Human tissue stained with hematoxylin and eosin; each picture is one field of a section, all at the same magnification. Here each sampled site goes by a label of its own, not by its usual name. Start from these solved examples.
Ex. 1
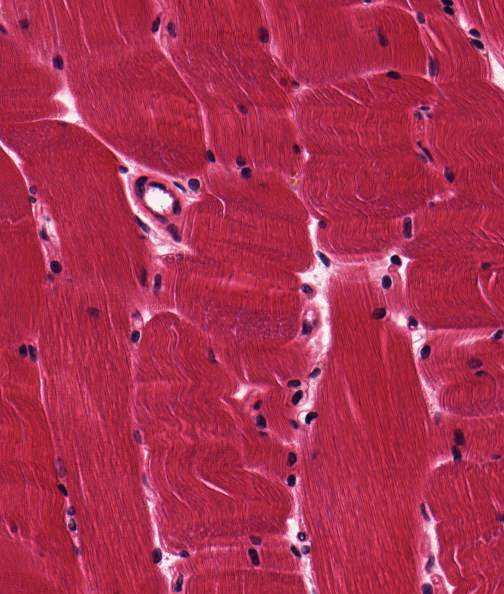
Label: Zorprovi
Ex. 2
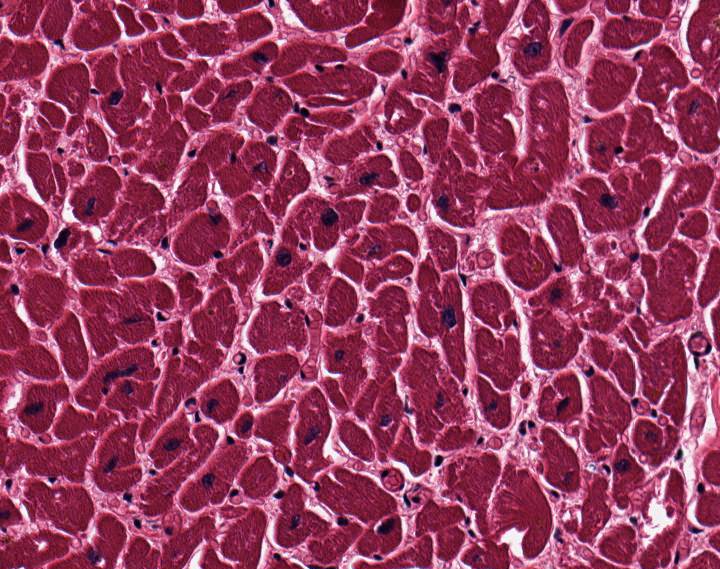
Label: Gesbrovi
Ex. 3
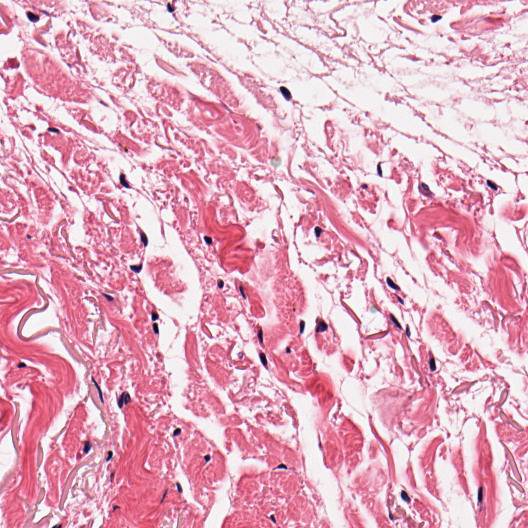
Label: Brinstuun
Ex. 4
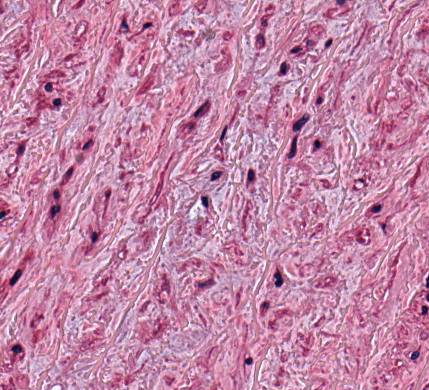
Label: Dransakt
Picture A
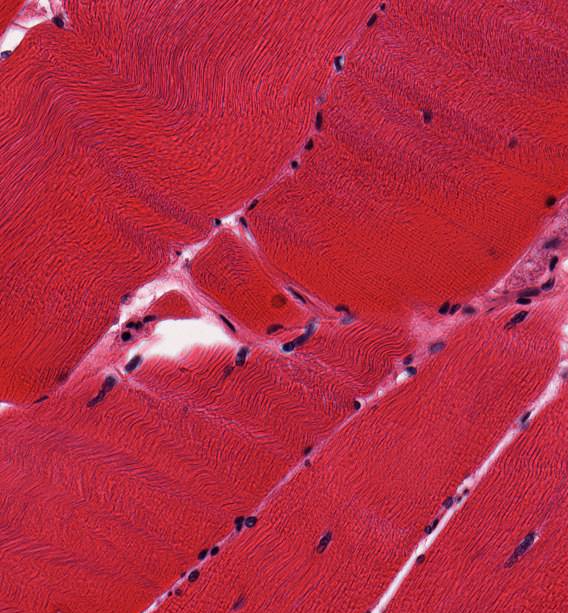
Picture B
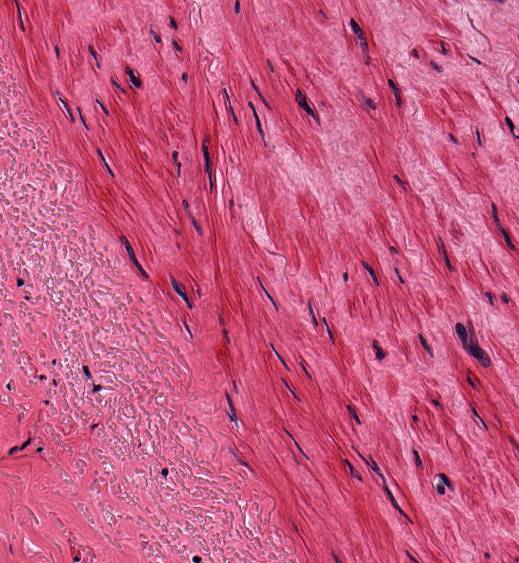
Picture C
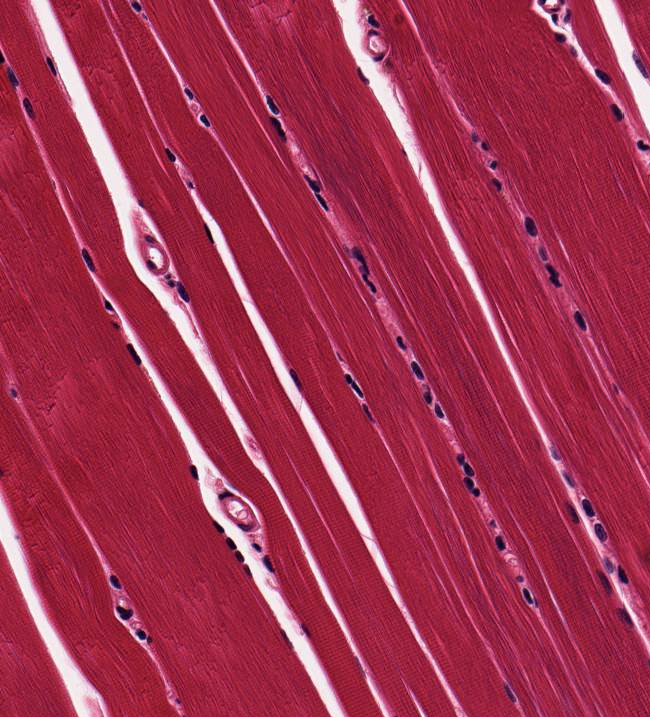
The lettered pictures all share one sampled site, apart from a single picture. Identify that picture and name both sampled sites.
Odd one out: B (Brinstuun). The rest: Zorprovi.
